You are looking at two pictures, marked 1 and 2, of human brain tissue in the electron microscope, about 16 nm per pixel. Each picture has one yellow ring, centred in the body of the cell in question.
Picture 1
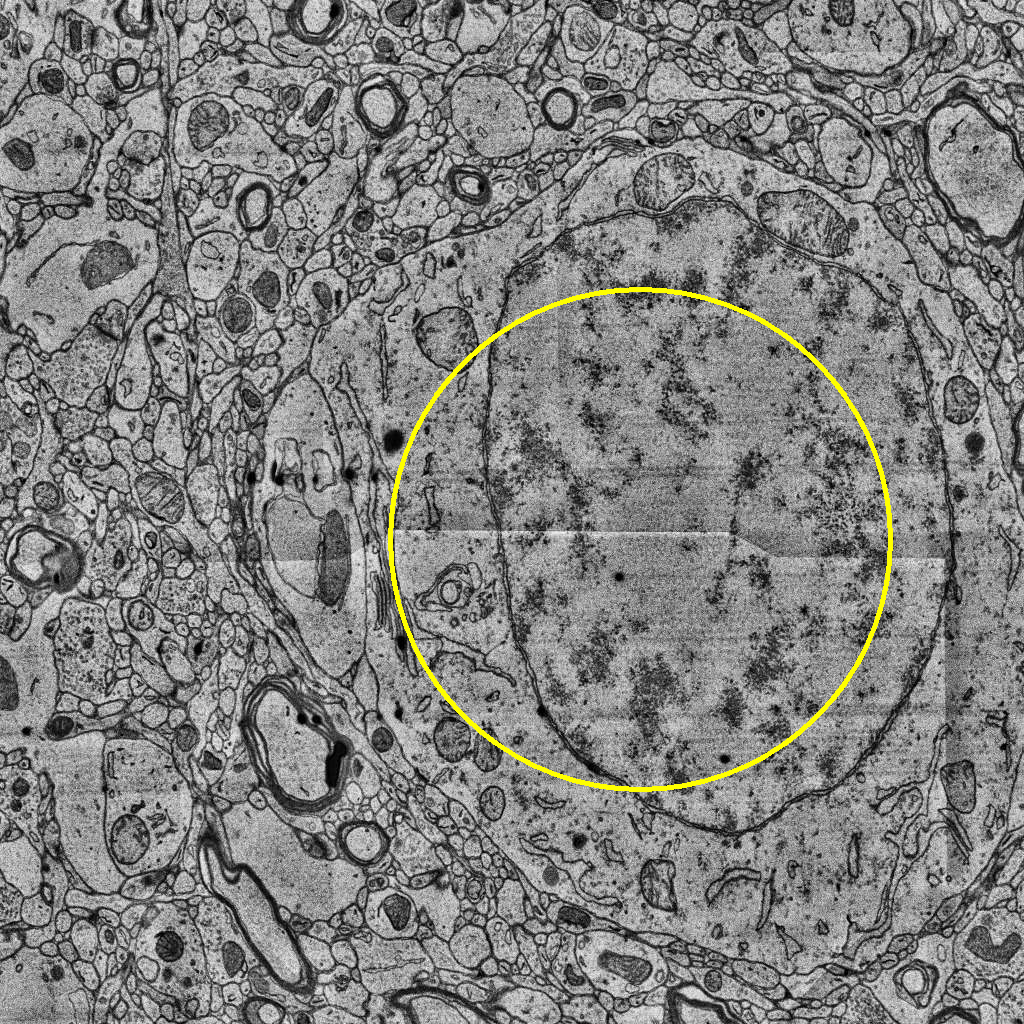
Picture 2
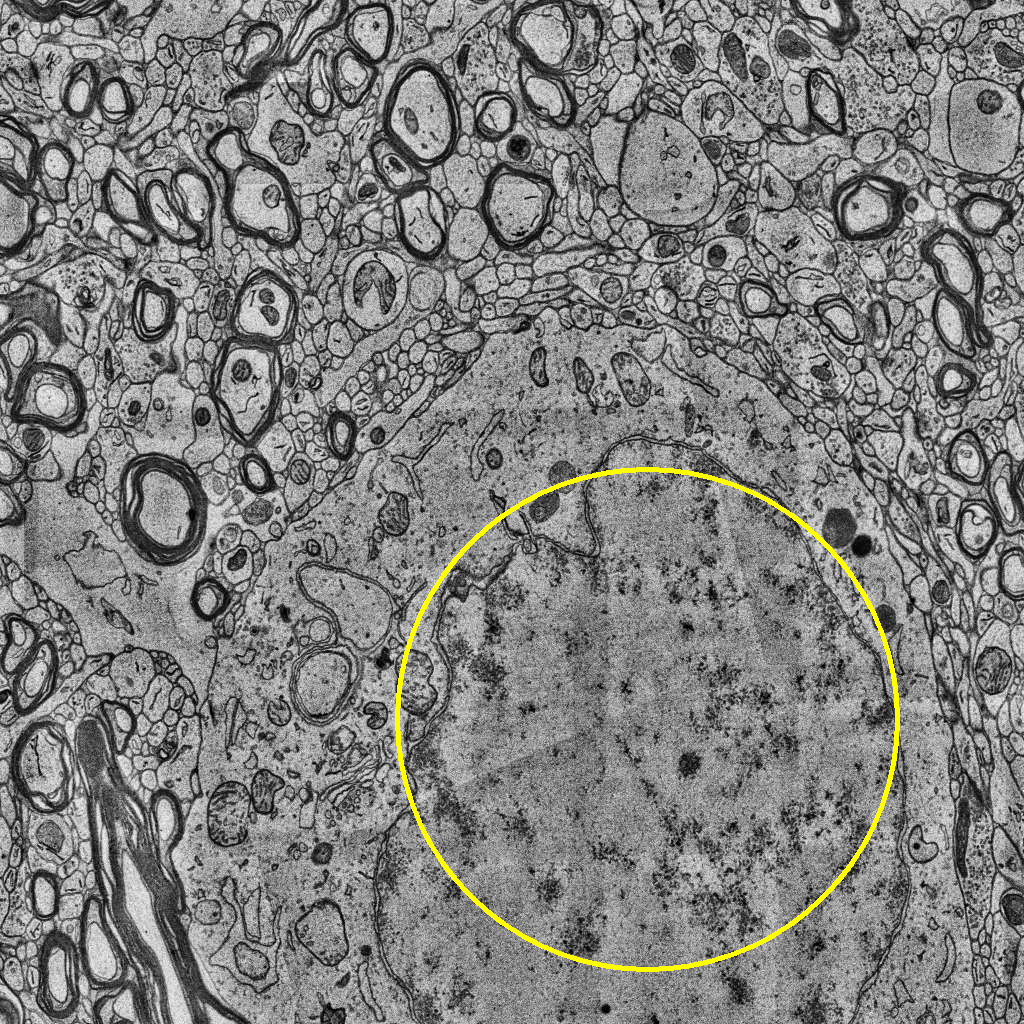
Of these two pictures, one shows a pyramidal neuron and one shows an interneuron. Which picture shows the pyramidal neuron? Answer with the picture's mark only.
1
